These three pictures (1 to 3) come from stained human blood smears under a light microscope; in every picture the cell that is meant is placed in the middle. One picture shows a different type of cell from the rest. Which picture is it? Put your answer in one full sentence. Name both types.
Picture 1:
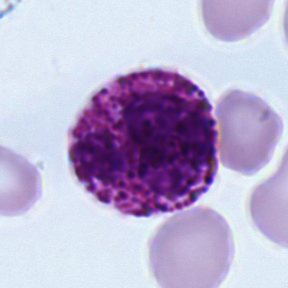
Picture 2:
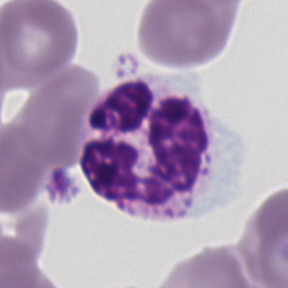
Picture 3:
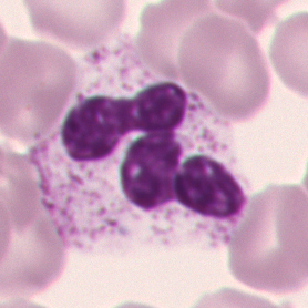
All pictures except 1 show segmented neutrophils; picture 1 shows a basophil.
